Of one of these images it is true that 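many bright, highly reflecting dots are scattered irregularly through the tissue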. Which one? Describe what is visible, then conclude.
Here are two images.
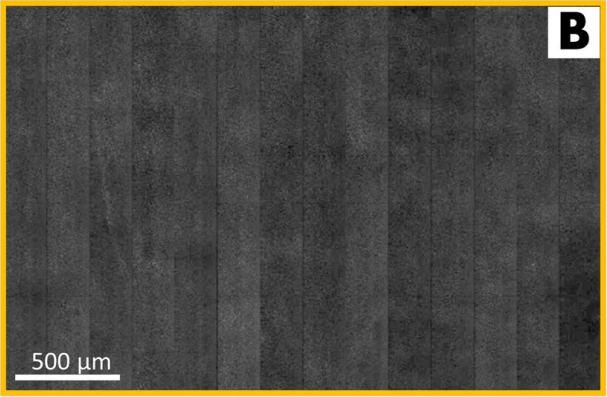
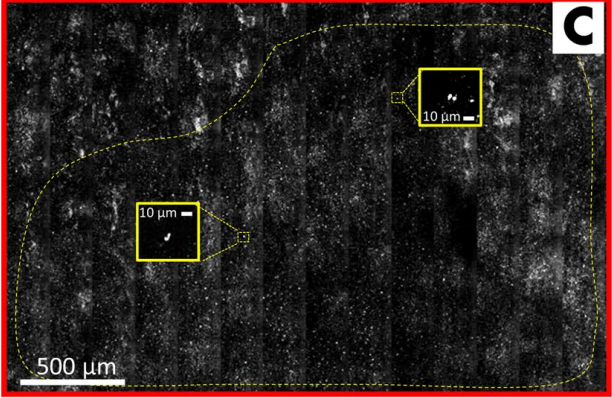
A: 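The second image. Second image: numerous bright punctate spots on a dark background, clustered in patches. First image: an even, uniform grey texture without bright spots.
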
